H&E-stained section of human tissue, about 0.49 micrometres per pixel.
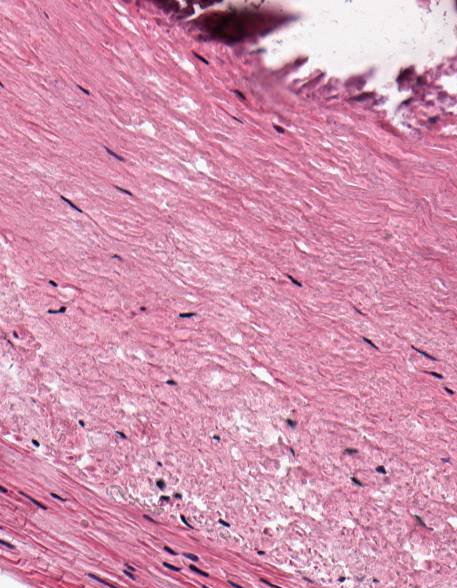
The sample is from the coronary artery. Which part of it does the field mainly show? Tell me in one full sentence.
The human tissue part in this section is tunica intima.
